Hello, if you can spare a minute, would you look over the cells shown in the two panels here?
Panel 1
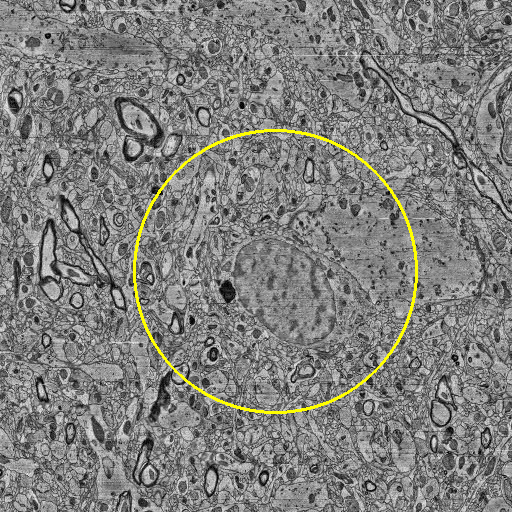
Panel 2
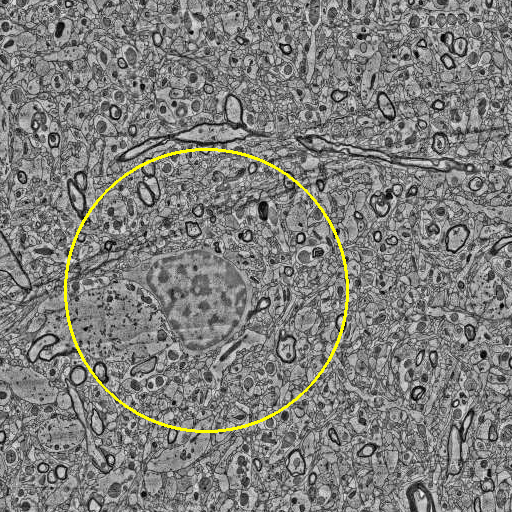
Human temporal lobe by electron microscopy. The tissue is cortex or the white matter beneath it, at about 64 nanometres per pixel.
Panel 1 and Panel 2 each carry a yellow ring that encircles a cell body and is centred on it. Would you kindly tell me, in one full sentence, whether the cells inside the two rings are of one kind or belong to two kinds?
The cells at the centres of the rings in Panel 1 and Panel 2 are of one kind.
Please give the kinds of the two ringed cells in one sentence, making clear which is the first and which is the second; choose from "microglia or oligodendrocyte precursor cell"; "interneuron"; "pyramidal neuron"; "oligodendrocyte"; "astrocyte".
Each of the two rings is centred on an oligodendrocyte.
